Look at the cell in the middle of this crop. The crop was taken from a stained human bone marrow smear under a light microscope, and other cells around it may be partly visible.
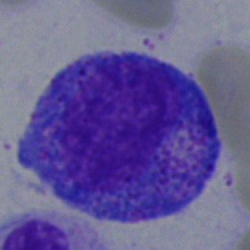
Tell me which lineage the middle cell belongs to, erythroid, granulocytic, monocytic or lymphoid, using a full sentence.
Assigned to the granulocytic lineage is the cell at the center.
